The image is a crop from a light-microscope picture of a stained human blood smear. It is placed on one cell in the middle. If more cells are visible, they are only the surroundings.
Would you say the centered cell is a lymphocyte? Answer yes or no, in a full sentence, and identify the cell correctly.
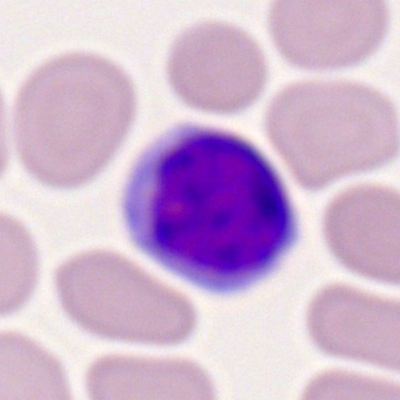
Yes, the middle cell in this crop is a lymphocyte.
